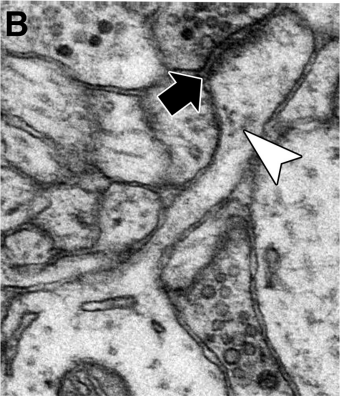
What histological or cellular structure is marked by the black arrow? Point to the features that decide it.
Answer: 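Synapse. The black arrow points to a region where two membranes are closely apposed. The membrane at the arrow has a dark, thickened density on one side.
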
